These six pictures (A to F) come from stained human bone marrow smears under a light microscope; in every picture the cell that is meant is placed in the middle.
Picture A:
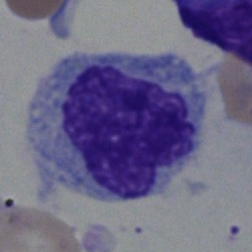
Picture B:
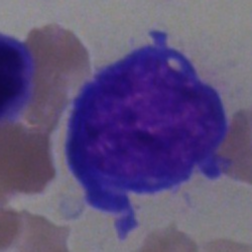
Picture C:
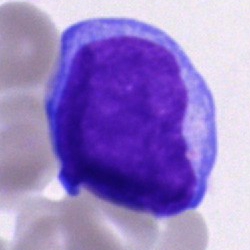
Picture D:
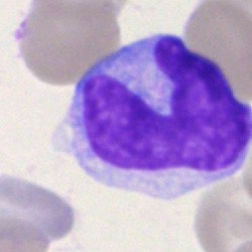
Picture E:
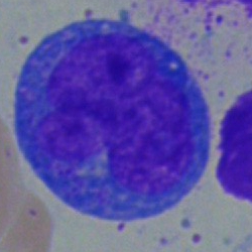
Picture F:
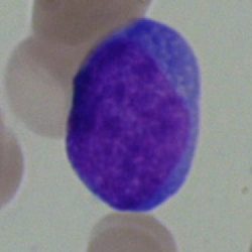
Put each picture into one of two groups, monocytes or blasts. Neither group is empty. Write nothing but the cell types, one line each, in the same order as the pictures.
monocyte
blast
blast
monocyte
blast
blast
